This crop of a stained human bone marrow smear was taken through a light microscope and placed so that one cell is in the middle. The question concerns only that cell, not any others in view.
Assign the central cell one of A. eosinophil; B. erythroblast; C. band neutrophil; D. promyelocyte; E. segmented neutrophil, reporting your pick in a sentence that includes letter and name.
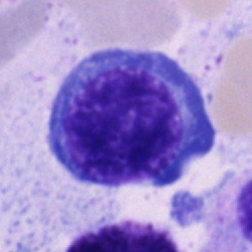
Occupying the middle of the crop is an erythroblast, hence option B is correct.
